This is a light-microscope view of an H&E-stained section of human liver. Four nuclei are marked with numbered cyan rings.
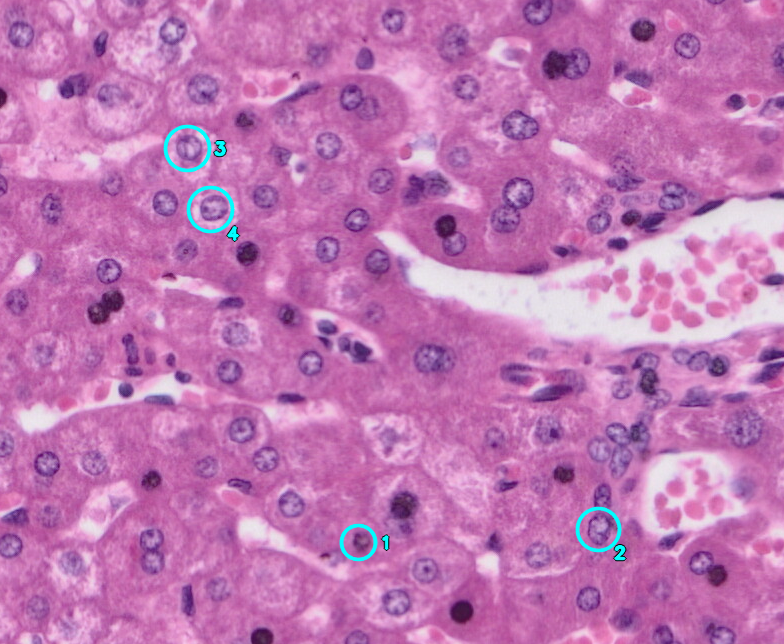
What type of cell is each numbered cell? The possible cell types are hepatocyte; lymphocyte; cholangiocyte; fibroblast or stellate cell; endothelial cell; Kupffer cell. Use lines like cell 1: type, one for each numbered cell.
cell 1: hepatocyte
cell 2: cholangiocyte
cell 3: hepatocyte
cell 4: hepatocyte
